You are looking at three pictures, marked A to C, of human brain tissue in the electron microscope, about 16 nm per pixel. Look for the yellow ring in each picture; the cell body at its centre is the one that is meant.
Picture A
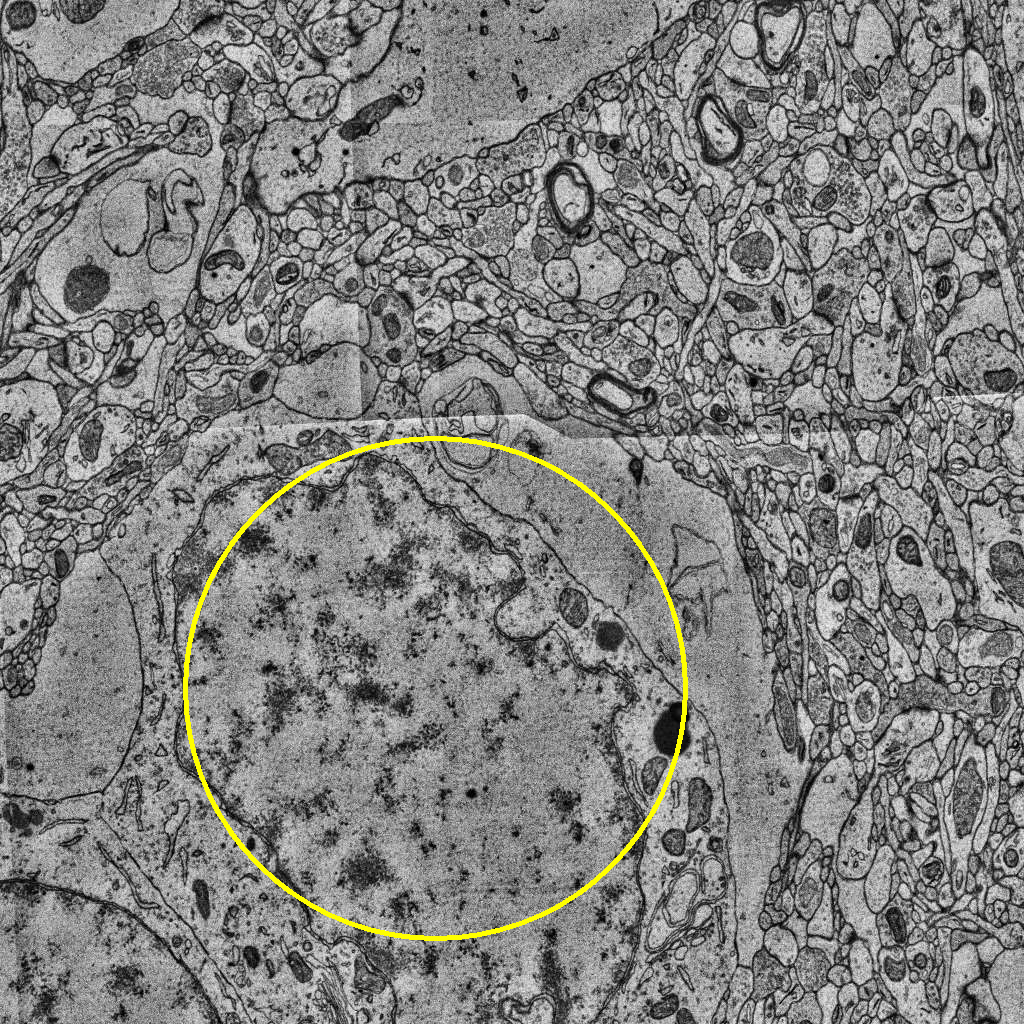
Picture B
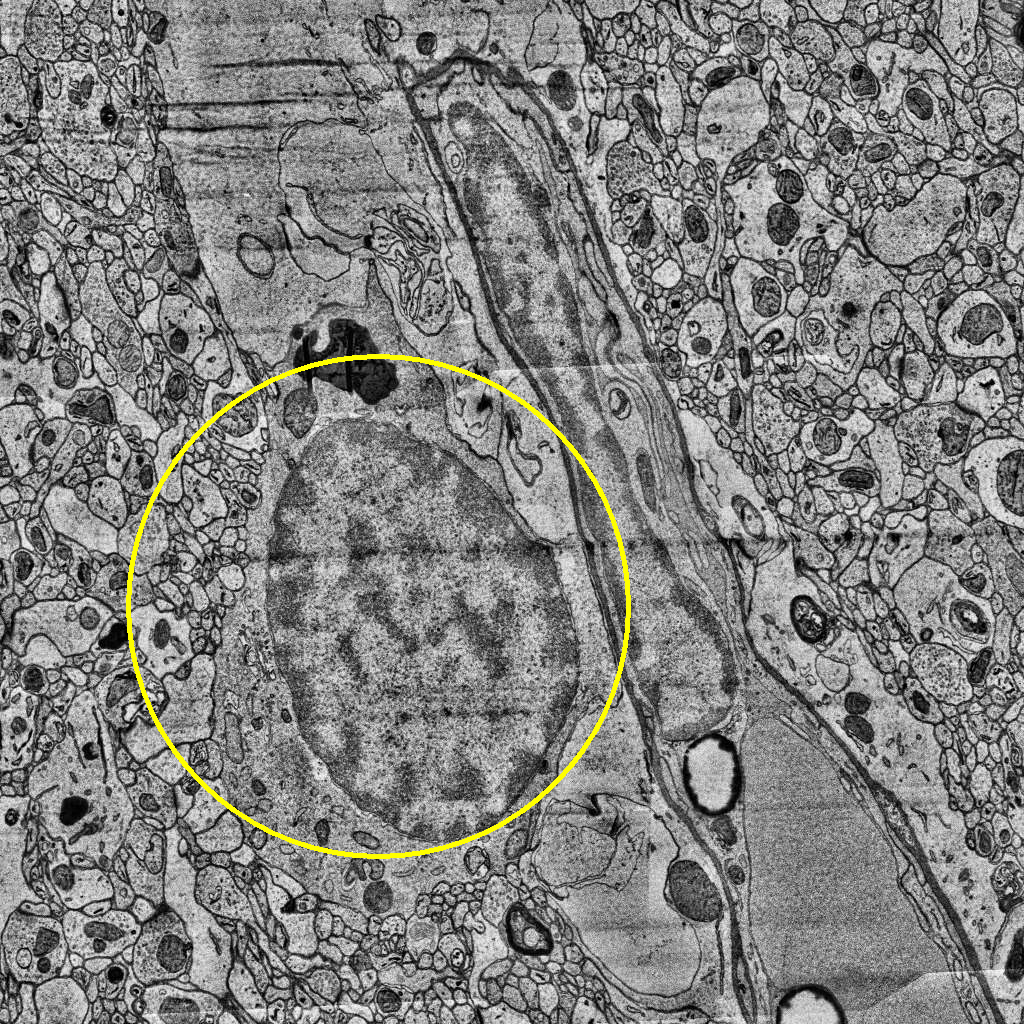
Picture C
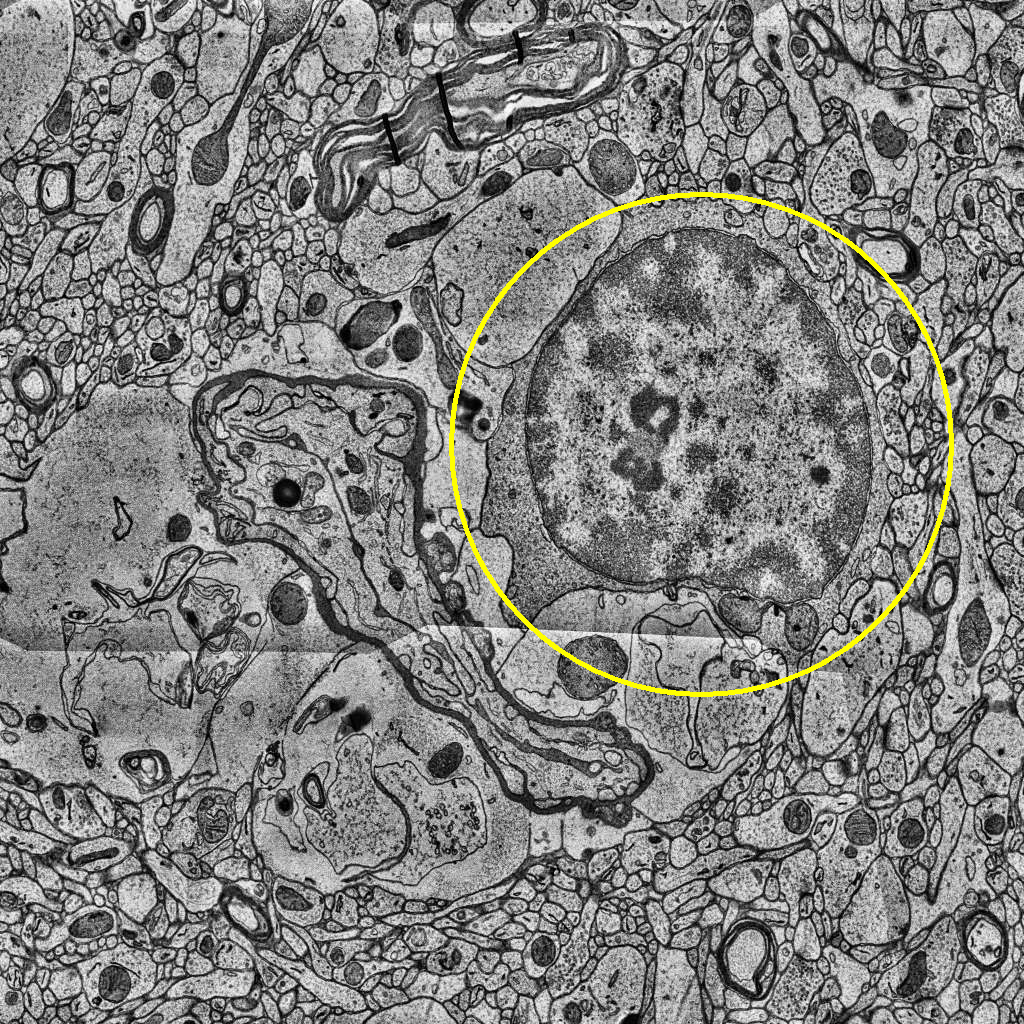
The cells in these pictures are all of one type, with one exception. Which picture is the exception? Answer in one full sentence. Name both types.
The others show oligodendrocytes, but picture A shows an interneuron.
